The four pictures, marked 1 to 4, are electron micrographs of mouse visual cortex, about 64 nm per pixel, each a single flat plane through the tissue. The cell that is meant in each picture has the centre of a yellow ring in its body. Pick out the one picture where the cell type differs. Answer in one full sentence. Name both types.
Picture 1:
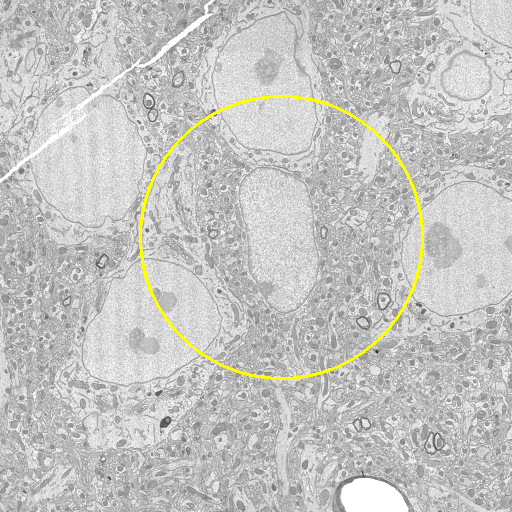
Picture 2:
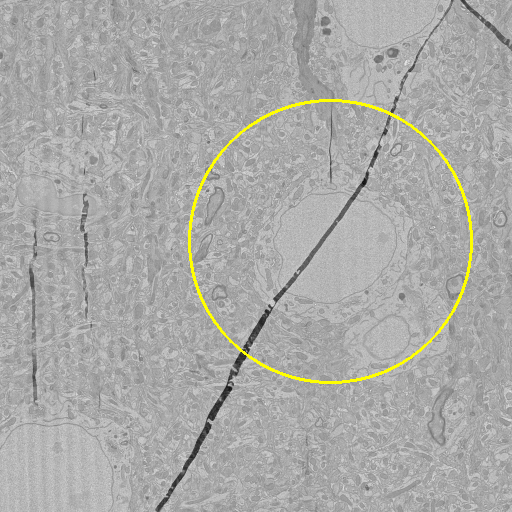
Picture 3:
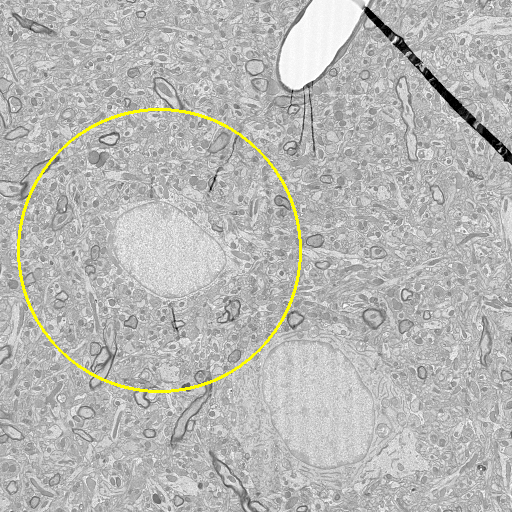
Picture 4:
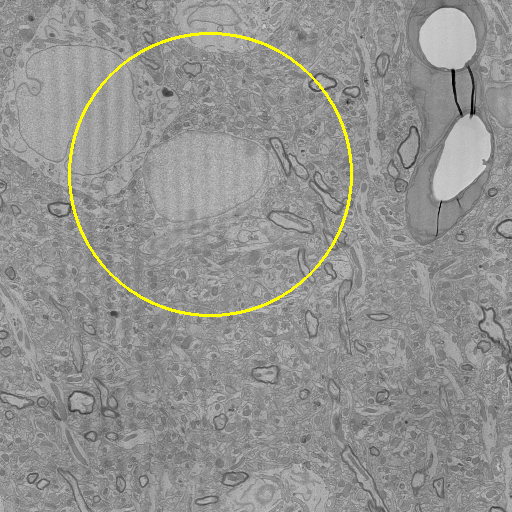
Unlike the rest, which show astrocytes, picture 2 shows an excitatory neuron.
